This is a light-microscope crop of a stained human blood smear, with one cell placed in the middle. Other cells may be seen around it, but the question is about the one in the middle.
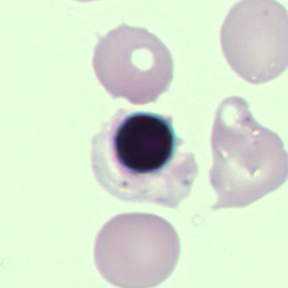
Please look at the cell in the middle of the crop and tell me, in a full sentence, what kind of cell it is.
In this crop, the cell at the very middle is an erythroblast.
